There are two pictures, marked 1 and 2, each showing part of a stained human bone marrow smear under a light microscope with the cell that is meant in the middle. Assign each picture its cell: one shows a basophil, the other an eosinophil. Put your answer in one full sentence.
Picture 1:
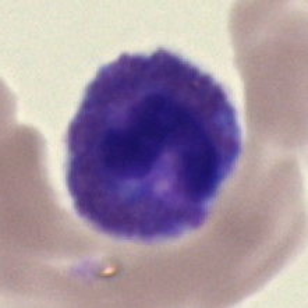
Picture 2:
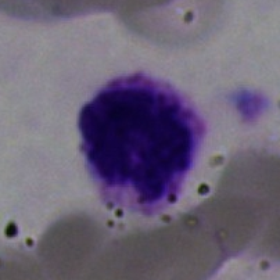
The cell in picture 1 is an eosinophil, and the one in picture 2 is a basophil.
